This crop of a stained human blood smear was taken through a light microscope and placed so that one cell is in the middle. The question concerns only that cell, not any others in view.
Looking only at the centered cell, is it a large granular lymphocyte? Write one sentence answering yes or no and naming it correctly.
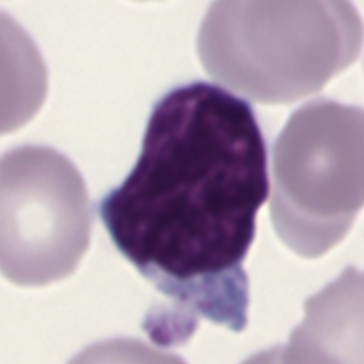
No, the central cell does not represent a large granular lymphocyte, but a typical lymphocyte.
